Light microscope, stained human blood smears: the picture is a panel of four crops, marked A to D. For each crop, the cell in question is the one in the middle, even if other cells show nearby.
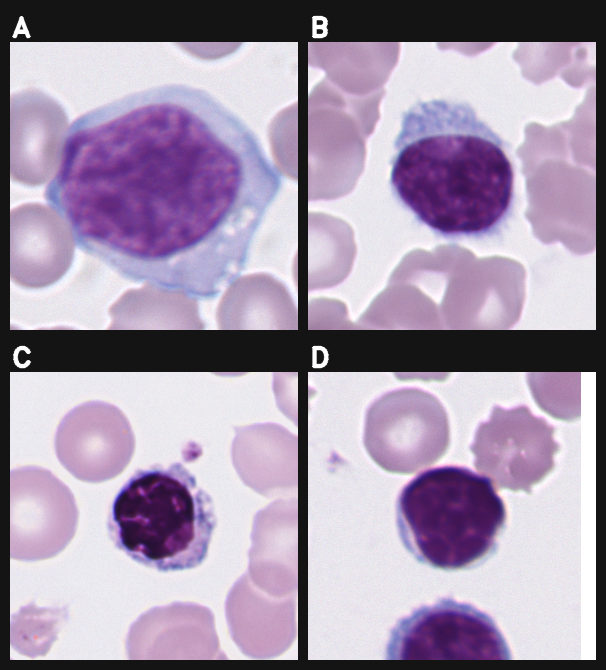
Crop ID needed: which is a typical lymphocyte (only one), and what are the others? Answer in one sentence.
In short, crop D is a typical lymphocyte, and crop A is a myeloblast, crop B is a hairy cell and crop C is an erythroblast.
